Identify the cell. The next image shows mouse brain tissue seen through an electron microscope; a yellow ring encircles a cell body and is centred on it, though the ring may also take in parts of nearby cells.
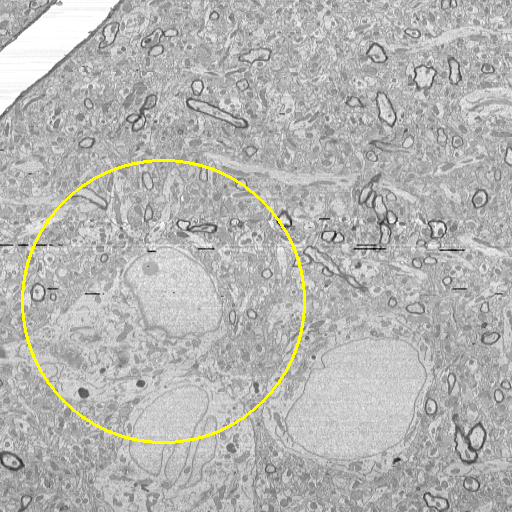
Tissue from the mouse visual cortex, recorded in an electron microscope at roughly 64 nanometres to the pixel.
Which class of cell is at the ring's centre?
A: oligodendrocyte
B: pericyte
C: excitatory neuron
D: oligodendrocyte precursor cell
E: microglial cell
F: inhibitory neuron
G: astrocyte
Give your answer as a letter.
D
